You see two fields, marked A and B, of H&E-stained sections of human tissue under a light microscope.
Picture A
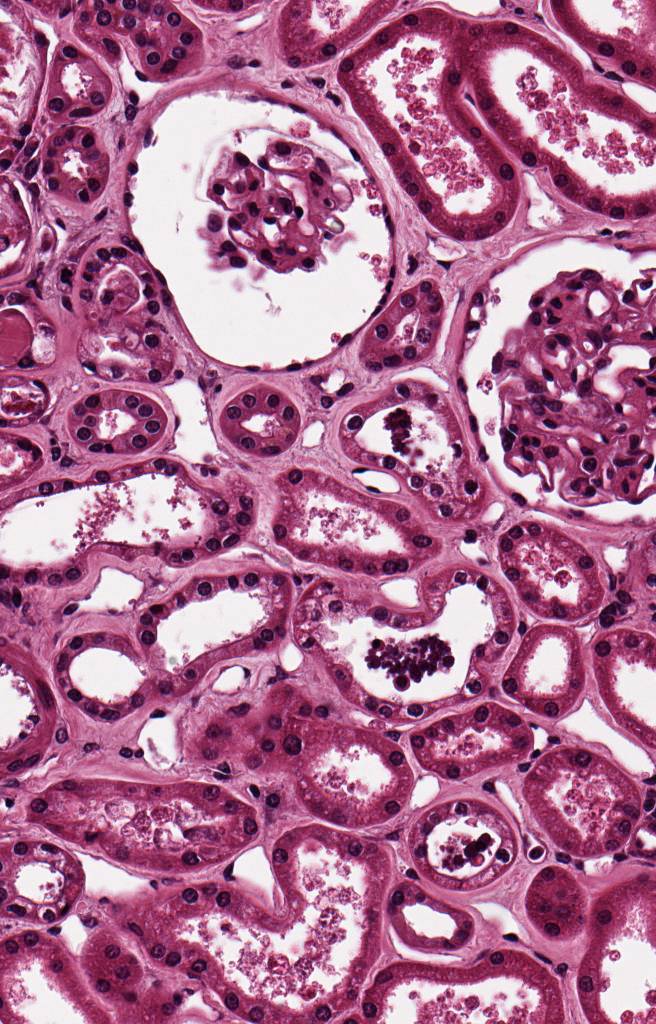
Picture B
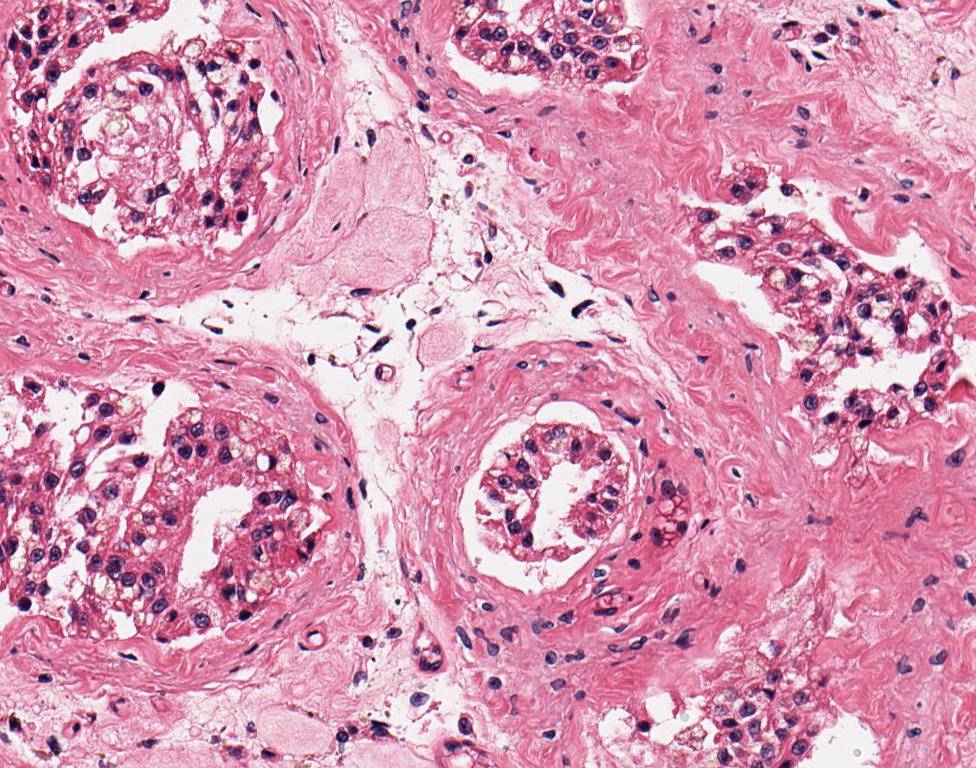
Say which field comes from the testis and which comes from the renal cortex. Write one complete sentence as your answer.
Picture B comes from the testis, while picture A comes from the renal cortex.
